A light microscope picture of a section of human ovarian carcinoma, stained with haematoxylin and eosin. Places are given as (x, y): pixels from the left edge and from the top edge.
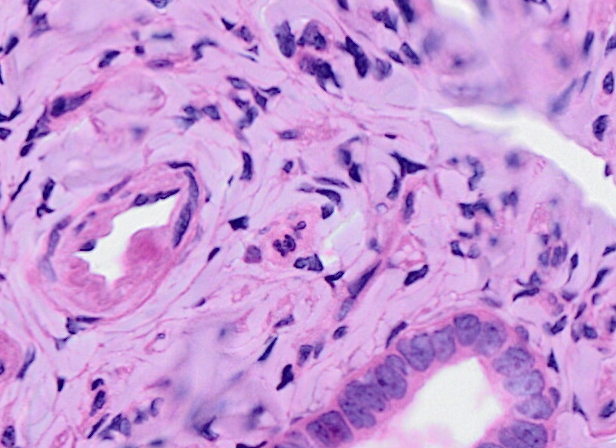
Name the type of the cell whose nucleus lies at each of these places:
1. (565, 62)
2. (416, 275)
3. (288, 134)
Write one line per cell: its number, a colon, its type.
1: smooth muscle cell
2: fibroblast
3: smooth muscle cell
